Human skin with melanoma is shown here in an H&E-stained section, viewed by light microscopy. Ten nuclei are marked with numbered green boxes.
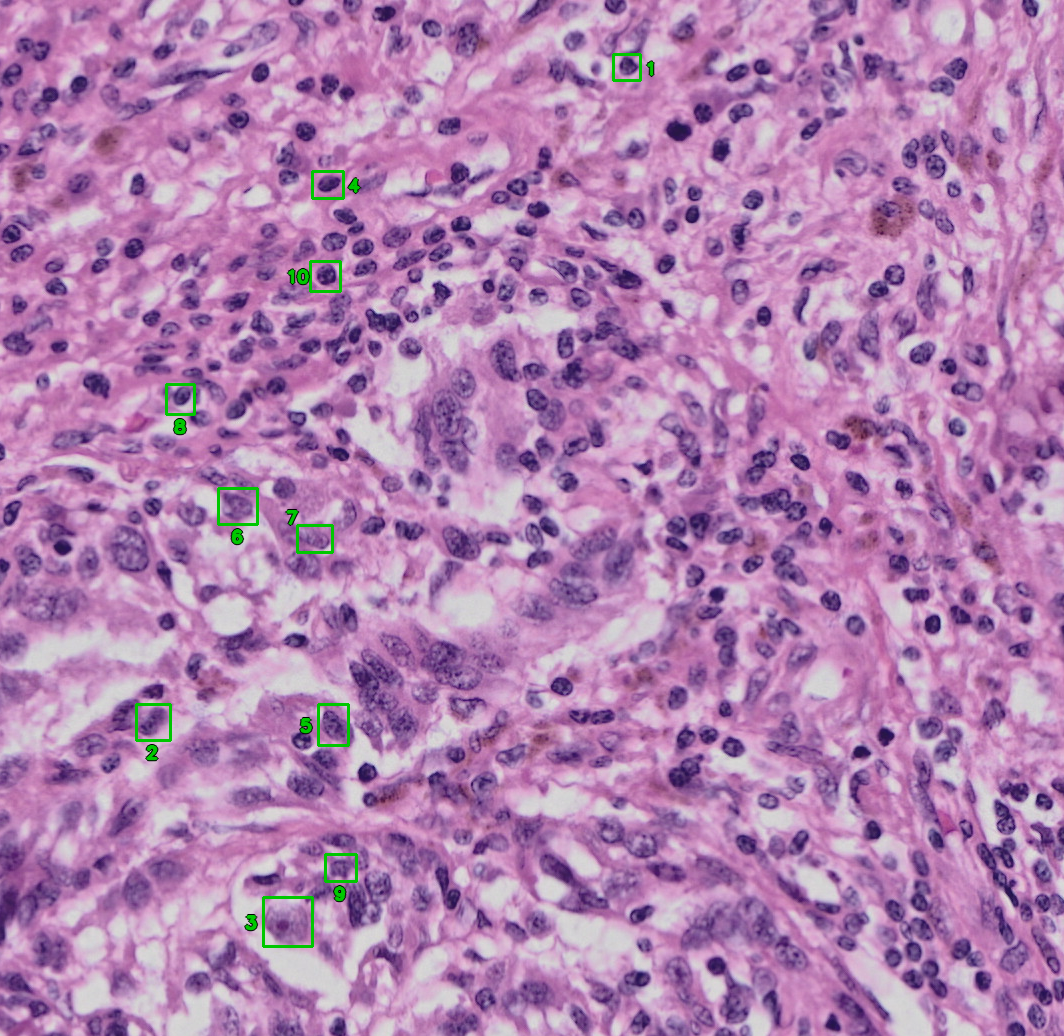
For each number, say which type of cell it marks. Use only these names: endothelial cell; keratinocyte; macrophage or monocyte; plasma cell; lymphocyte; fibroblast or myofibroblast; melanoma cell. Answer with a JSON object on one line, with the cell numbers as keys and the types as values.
{"1": "lymphocyte", "2": "melanoma cell", "3": "melanoma cell", "4": "lymphocyte", "5": "melanoma cell", "6": "melanoma cell", "7": "melanoma cell", "8": "lymphocyte", "9": "melanoma cell", "10": "lymphocyte"}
